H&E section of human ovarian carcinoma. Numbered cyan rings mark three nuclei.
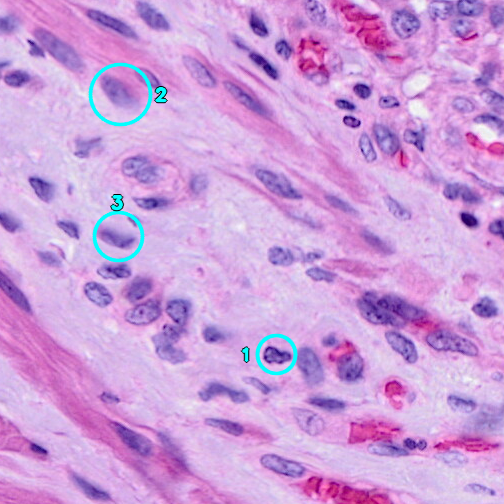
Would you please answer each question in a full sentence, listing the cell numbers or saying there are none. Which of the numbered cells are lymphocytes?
Cell 1 stands alone among the numbered cells as a lymphocyte.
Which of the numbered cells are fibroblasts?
Cell 3 is the one numbered cell that is a fibroblast.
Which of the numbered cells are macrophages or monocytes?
The cells whose nuclei carry numbers are not macrophages or monocytes.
